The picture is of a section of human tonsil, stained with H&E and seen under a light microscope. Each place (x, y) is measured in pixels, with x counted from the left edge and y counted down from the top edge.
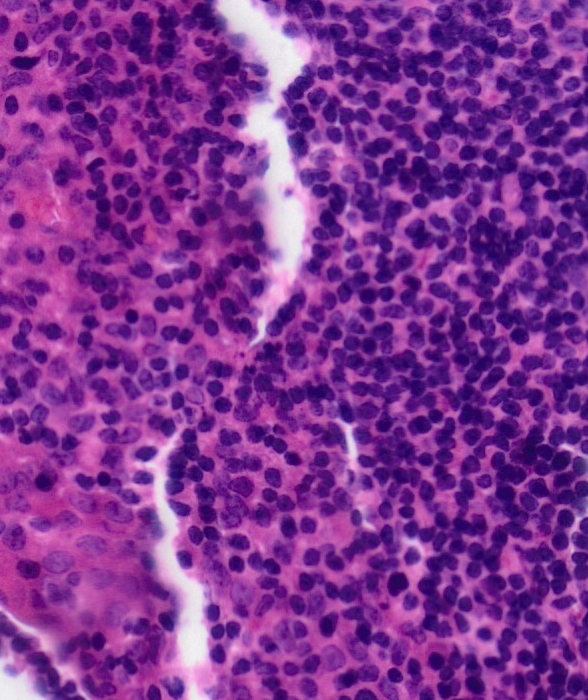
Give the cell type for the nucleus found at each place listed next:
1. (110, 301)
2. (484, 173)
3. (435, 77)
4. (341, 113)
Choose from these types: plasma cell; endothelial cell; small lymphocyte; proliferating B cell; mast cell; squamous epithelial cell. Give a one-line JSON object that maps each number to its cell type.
{"1": "plasma cell", "2": "small lymphocyte", "3": "small lymphocyte", "4": "small lymphocyte"}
